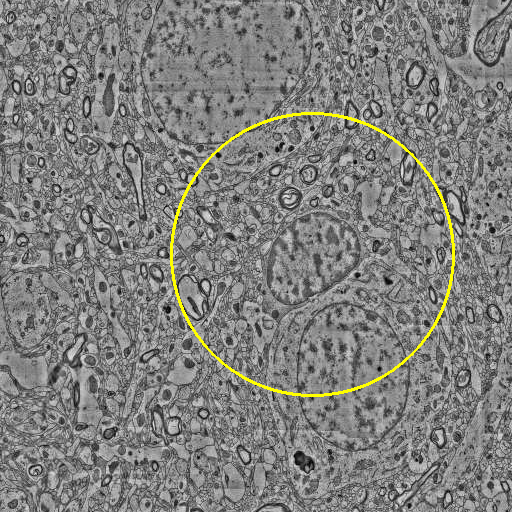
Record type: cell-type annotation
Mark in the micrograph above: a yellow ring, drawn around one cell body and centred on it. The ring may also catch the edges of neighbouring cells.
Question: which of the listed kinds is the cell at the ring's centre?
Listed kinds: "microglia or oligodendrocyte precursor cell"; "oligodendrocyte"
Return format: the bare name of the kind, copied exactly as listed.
oligodendrocyte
